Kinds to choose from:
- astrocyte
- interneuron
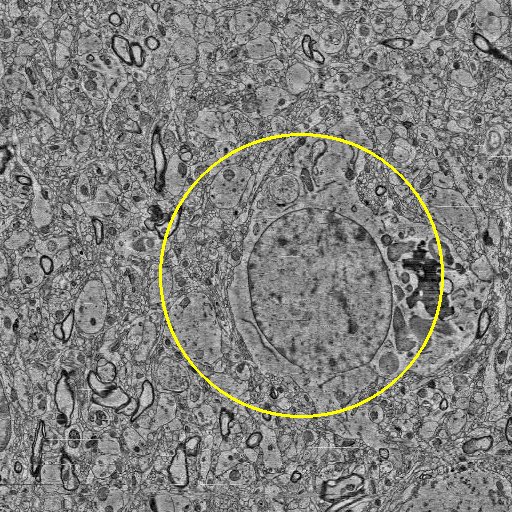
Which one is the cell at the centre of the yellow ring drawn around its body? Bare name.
astrocyte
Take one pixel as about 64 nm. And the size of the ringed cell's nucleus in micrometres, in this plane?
The nucleus works out at approximately 11 by 9 micrometres in this plane.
